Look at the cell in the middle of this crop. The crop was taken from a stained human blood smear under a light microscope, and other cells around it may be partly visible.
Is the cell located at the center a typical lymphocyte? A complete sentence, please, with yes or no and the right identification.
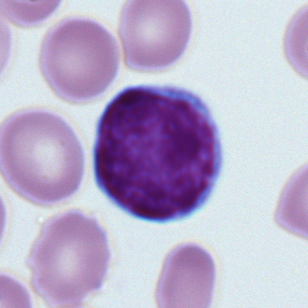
Yes, what sits in the centre of the crop is a typical lymphocyte.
